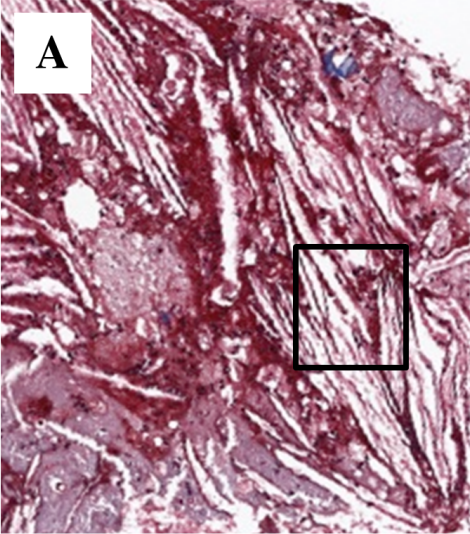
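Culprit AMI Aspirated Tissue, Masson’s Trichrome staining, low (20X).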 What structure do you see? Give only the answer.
Cholesterol clefts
